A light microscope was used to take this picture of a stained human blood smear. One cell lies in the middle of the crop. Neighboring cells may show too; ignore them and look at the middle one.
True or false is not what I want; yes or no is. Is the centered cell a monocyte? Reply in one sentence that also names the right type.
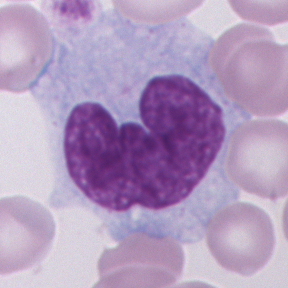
Yes, the cell sitting in the middle of this smear crop is a monocyte.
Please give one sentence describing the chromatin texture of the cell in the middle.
There is no coarse clumping; the chromatin stays fine throughout.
